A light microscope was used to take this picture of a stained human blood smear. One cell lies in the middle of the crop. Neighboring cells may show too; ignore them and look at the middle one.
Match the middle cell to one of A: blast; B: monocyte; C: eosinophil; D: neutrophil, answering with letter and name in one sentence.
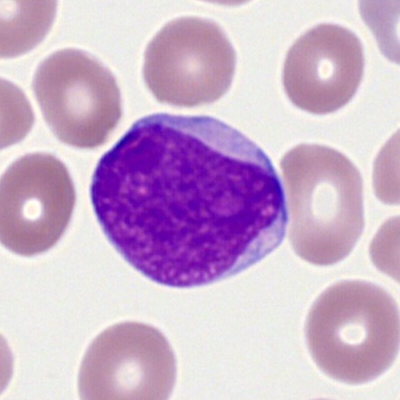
As the central cell is a blast, option A is correct.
